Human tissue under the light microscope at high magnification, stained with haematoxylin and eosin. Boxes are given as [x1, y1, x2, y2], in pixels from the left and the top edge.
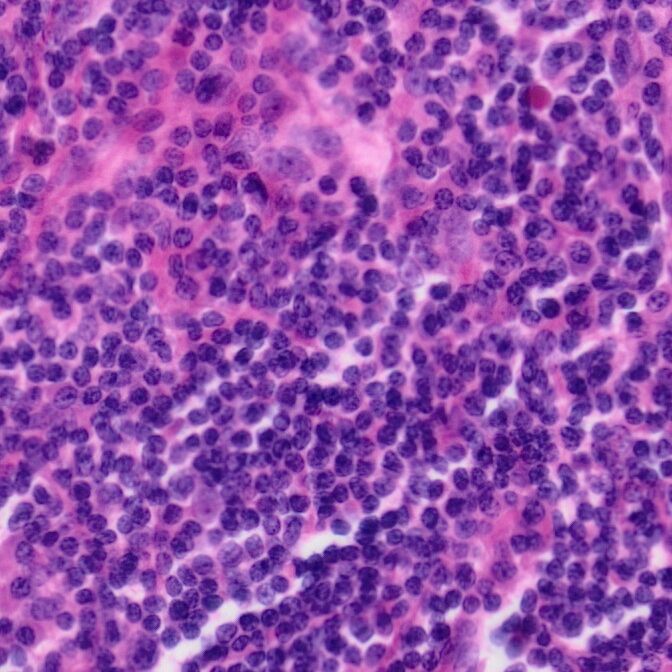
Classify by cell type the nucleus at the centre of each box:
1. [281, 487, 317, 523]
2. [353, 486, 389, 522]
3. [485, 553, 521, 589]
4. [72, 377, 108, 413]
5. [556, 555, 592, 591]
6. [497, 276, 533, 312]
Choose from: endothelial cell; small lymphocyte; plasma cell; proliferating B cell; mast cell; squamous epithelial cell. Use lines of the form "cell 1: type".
cell 1: small lymphocyte
cell 2: small lymphocyte
cell 3: plasma cell
cell 4: small lymphocyte
cell 5: small lymphocyte
cell 6: plasma cell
